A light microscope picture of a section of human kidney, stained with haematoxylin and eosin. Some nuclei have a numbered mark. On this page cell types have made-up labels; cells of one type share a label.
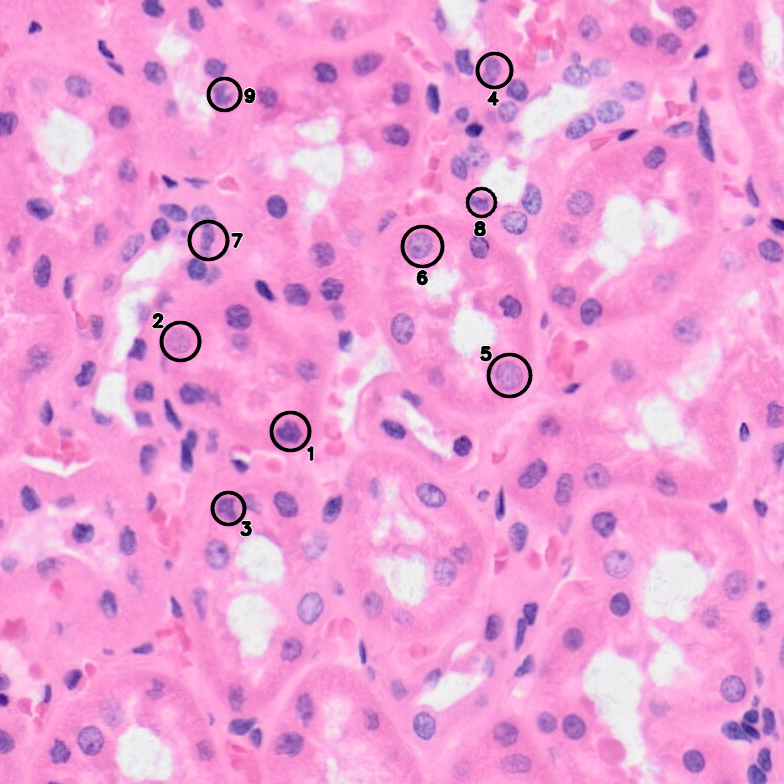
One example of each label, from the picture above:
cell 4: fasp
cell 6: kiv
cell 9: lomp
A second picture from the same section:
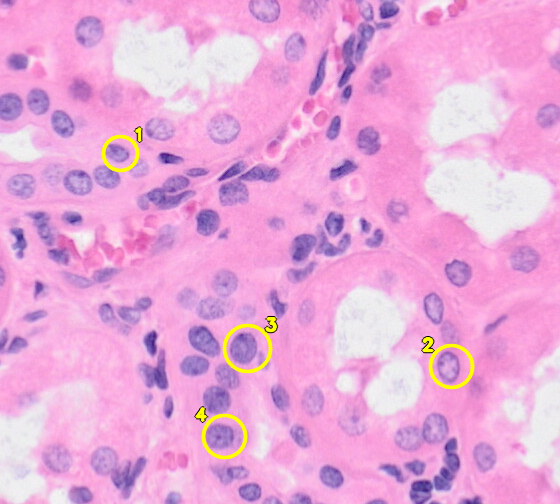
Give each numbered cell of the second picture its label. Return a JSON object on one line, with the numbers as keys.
{"1": "fasp", "2": "kiv", "3": "fasp", "4": "fasp"}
